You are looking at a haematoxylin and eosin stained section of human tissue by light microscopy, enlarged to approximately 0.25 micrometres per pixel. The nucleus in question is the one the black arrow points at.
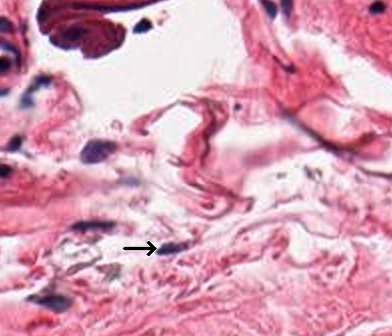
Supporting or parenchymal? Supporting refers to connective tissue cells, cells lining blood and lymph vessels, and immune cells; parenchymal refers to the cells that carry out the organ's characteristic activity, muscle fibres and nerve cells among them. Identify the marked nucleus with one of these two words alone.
supporting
